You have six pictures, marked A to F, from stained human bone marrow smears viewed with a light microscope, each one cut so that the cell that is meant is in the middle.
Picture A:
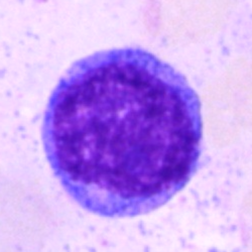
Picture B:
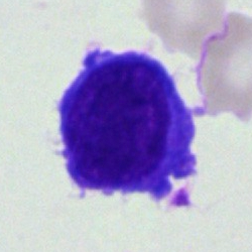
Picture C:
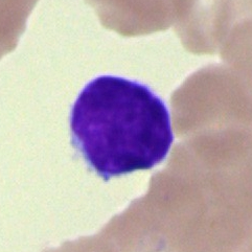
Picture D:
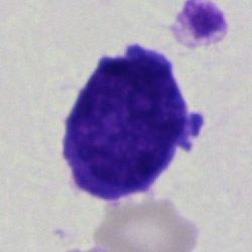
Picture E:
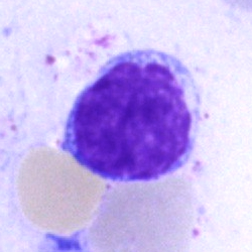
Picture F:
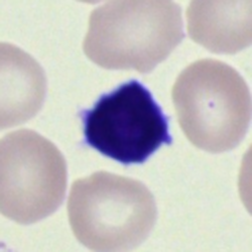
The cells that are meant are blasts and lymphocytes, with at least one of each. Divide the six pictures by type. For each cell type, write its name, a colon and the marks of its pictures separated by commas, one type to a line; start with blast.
blast: A, B, D
lymphocyte: C, E, F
